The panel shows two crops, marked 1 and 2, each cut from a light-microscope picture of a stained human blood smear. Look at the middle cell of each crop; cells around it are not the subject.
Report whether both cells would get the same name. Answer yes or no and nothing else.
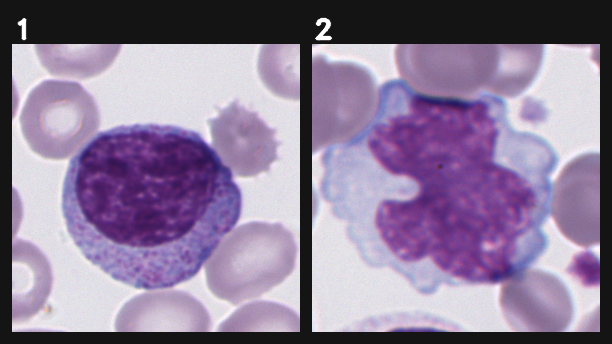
no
